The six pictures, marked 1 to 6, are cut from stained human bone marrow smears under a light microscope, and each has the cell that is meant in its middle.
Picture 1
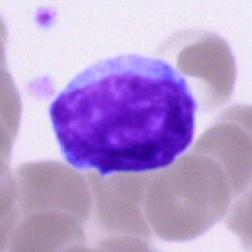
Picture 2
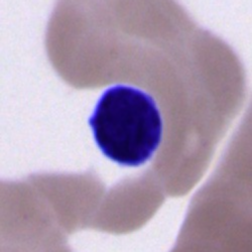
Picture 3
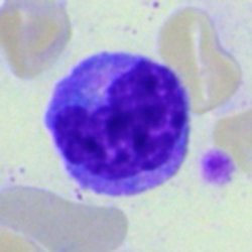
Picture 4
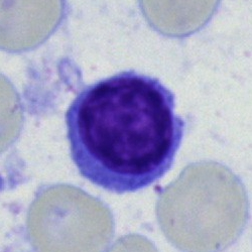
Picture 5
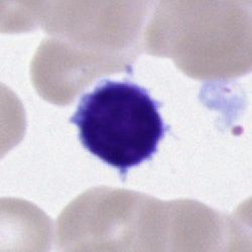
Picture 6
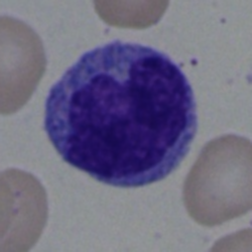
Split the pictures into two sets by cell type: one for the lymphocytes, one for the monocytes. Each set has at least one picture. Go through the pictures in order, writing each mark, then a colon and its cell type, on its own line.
1: lymphocyte
2: lymphocyte
3: monocyte
4: lymphocyte
5: lymphocyte
6: monocyte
